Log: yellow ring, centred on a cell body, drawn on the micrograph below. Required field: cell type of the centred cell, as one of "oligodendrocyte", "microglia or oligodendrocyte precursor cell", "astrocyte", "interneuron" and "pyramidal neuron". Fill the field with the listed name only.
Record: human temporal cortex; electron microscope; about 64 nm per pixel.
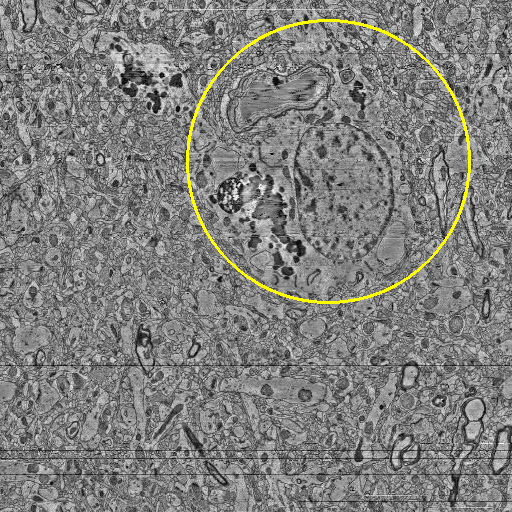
astrocyte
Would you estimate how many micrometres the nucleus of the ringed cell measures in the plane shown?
Approximately 9 micrometres long and 6 micrometres wide, in this plane.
